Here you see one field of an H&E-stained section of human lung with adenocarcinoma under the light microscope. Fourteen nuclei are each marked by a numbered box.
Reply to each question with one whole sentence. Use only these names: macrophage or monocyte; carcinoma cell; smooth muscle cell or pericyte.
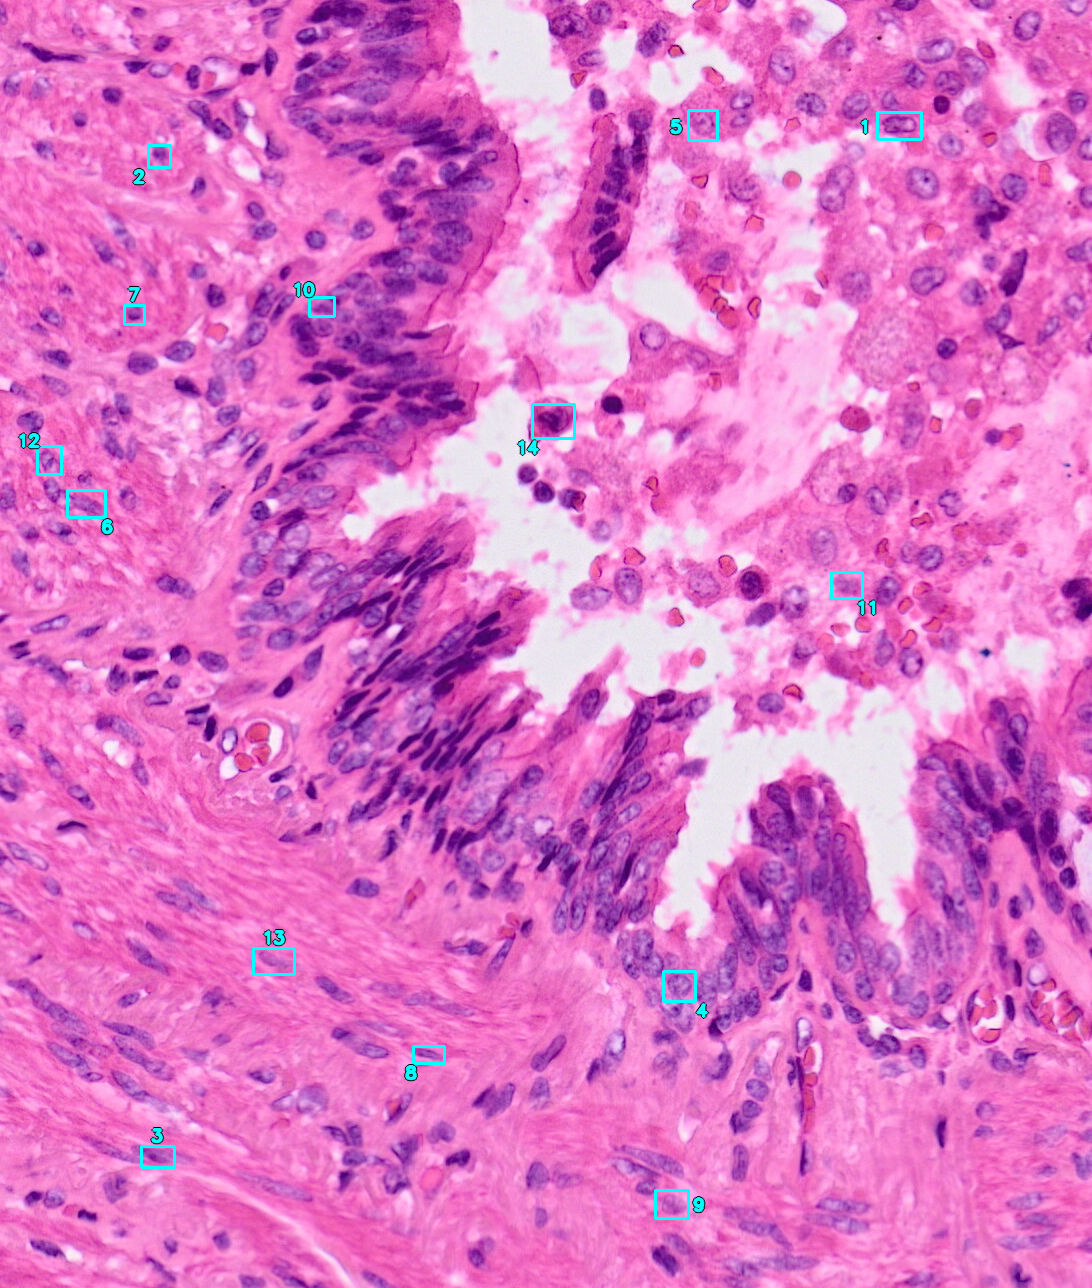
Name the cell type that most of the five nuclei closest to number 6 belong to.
The majority of the five nuclei closest to number 6 belong to smooth muscle cells or pericytes.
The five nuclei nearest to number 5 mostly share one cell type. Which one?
Macrophages or monocytes make up most of the five nuclei closest to number 5.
